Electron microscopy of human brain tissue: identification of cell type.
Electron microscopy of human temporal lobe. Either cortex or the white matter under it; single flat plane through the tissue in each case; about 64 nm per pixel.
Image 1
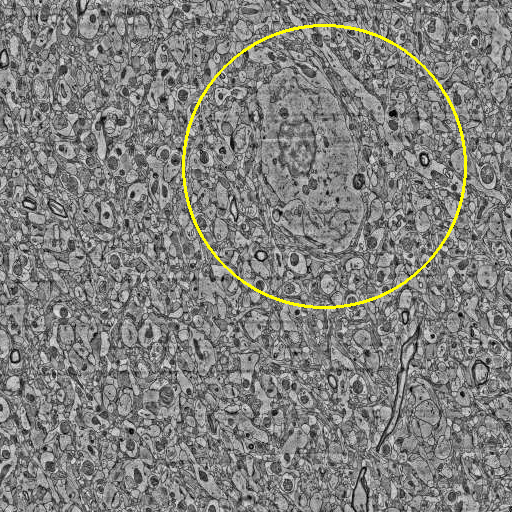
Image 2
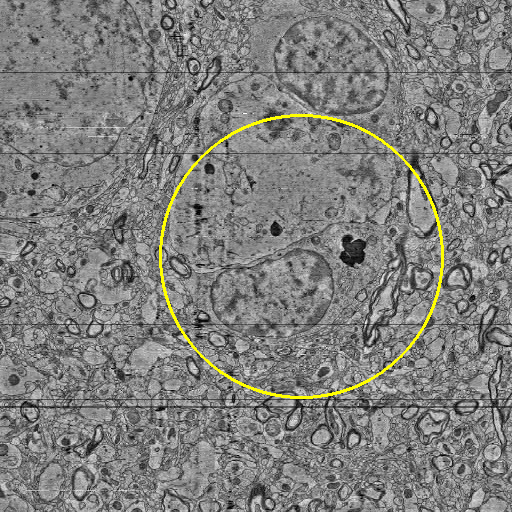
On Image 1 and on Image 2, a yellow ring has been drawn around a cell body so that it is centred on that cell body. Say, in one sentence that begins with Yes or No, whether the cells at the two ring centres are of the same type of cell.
Yes, both cells are the same type of cell.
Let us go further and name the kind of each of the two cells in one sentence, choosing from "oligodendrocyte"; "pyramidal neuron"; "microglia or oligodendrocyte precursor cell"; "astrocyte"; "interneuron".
Both pictures show an oligodendrocyte at the centre of the ring.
